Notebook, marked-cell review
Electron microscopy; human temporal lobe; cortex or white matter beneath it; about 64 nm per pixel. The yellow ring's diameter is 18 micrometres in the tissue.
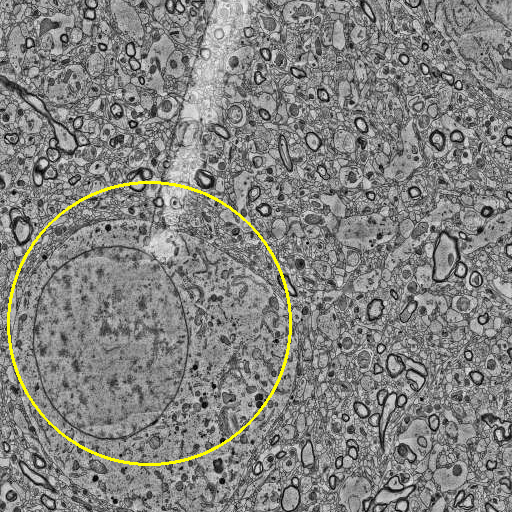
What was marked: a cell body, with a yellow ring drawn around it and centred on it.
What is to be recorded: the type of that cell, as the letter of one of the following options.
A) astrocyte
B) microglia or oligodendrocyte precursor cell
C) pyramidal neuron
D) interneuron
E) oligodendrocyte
C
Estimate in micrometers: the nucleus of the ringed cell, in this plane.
In this plane, roughly 12 by 10 micrometres.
